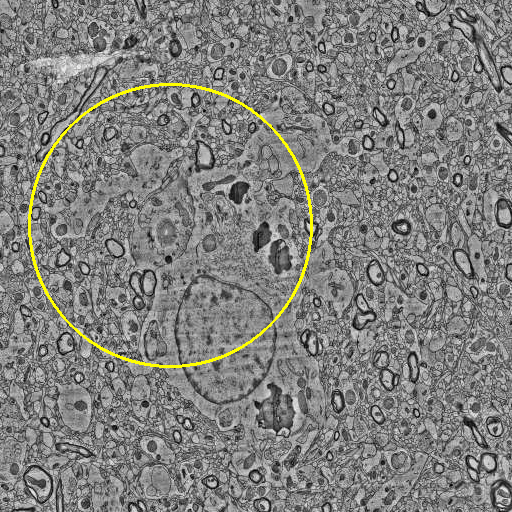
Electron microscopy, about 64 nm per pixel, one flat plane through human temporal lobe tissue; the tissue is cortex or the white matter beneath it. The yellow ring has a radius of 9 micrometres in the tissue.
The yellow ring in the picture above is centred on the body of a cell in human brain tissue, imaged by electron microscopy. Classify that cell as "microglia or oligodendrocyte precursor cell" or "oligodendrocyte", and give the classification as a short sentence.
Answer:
The cell in the middle of the ring is an oligodendrocyte.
